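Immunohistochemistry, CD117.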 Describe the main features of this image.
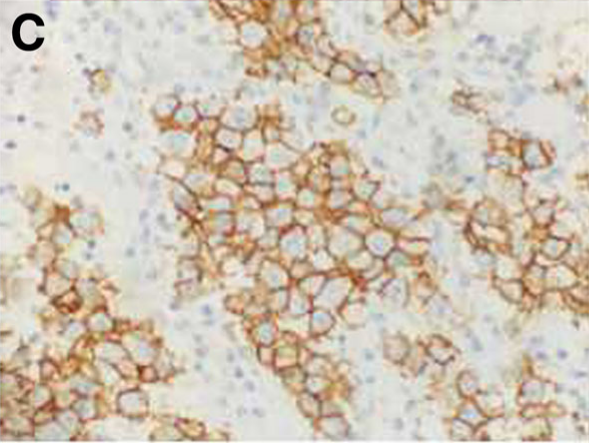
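Tumor cells in clusters separated by unstained pale stroma. Small blue nuclei of unstained cells lie in the stroma between the clusters.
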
